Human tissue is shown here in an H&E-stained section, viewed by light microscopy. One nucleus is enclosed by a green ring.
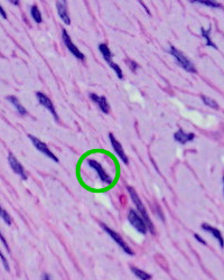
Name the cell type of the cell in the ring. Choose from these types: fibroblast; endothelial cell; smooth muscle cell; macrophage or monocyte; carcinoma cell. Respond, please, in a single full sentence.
Among the cells in this section, the cell in the ring is a fibroblast.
